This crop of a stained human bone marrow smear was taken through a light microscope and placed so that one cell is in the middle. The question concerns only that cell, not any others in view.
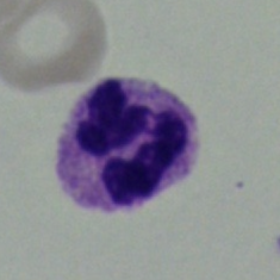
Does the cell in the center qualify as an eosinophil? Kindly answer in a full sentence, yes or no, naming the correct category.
No, this is not an eosinophil at all; the cell in the middle is a segmented neutrophil.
